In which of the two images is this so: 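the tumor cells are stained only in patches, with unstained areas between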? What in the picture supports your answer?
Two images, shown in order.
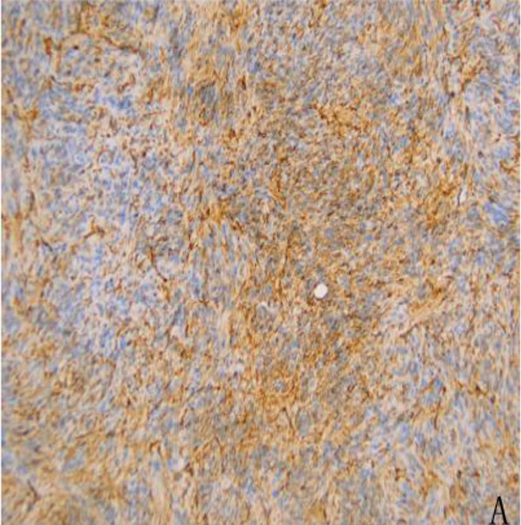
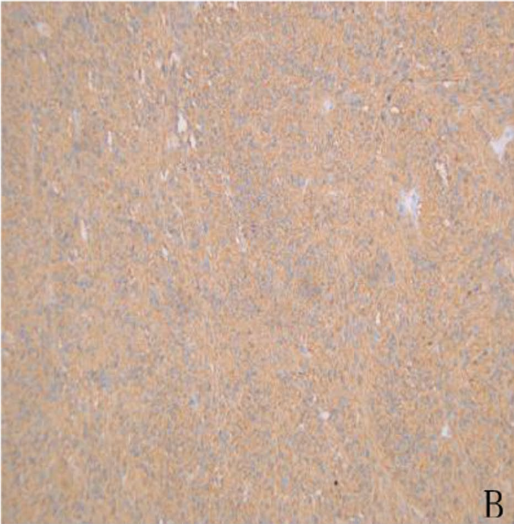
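Second image: brown stain spreads evenly over nearly the whole field. First image: brown stain is uneven, with sizeable blue areas of unstained cells alongside brown-stained regions. That points to this answer: the first image.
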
